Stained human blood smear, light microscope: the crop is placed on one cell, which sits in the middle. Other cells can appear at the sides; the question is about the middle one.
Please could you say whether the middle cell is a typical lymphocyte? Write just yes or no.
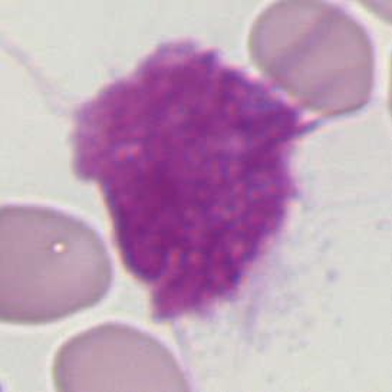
no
